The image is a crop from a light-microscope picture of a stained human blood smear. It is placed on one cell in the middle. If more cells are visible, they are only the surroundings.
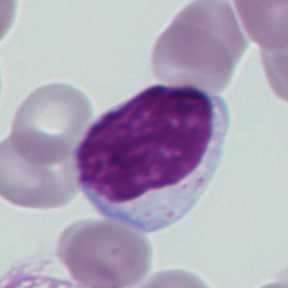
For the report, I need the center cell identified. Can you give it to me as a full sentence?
In this crop, the cell at the very middle is a large granular lymphocyte.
